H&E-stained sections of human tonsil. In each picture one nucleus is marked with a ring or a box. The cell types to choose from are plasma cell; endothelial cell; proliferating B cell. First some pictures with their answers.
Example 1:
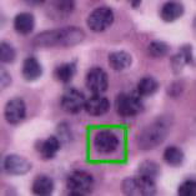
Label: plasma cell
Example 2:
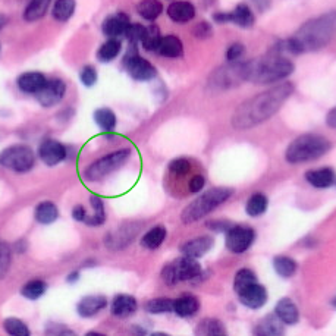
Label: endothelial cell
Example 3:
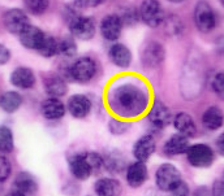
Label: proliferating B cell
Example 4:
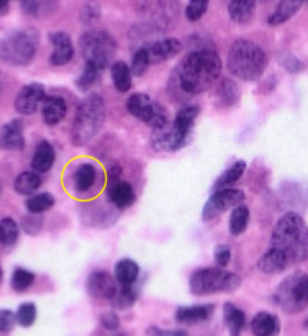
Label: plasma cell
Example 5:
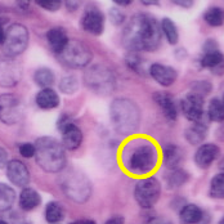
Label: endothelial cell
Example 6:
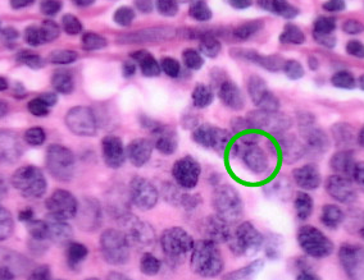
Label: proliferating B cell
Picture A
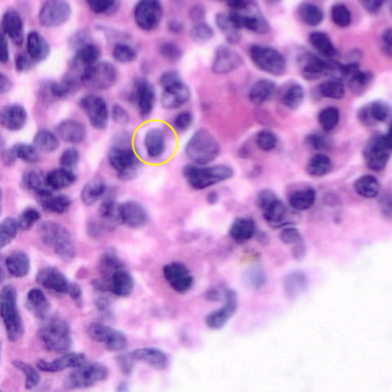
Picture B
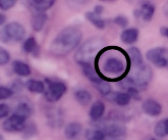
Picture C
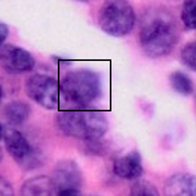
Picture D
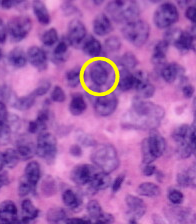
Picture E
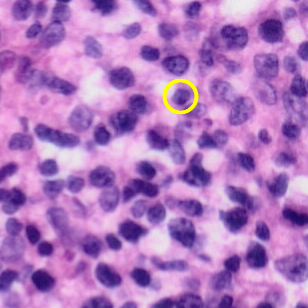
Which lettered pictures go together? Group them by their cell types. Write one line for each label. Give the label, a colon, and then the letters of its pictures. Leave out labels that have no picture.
endothelial cell: B
proliferating B cell: A, C, D, E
